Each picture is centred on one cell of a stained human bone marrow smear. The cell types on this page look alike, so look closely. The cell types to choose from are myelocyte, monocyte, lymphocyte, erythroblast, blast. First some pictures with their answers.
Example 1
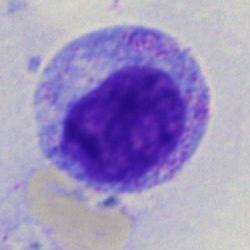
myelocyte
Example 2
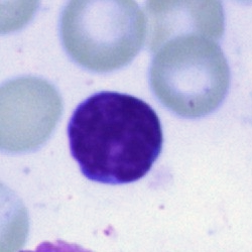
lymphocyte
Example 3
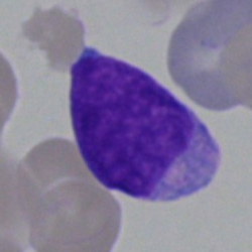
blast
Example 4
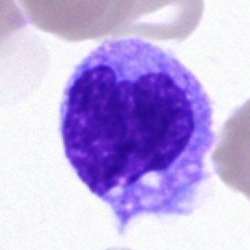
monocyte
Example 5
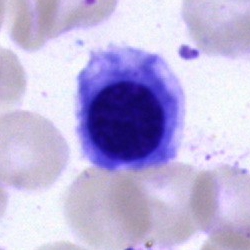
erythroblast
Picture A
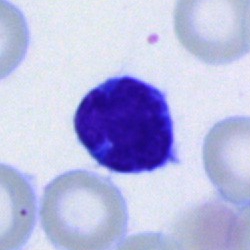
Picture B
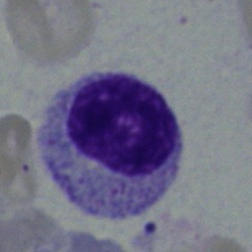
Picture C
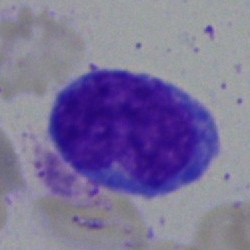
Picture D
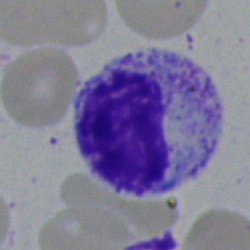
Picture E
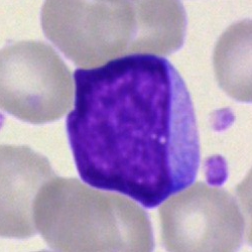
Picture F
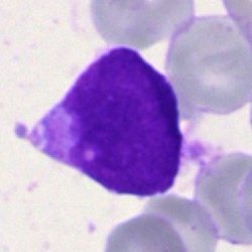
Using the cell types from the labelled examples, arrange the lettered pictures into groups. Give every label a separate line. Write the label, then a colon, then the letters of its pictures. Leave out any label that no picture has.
myelocyte: B, D
lymphocyte: A
blast: C, E, F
